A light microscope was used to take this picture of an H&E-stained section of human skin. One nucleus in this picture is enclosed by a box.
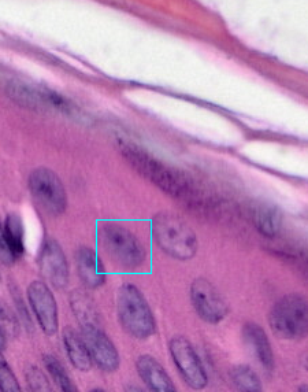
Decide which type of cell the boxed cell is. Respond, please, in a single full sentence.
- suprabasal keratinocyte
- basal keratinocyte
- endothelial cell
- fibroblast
The cell type represented by the boxed cell is that of a suprabasal keratinocyte.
